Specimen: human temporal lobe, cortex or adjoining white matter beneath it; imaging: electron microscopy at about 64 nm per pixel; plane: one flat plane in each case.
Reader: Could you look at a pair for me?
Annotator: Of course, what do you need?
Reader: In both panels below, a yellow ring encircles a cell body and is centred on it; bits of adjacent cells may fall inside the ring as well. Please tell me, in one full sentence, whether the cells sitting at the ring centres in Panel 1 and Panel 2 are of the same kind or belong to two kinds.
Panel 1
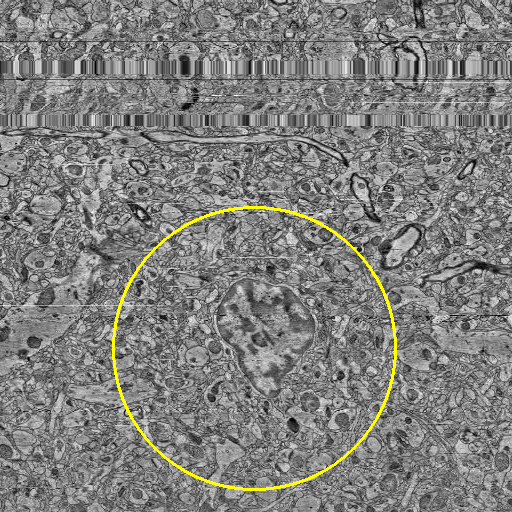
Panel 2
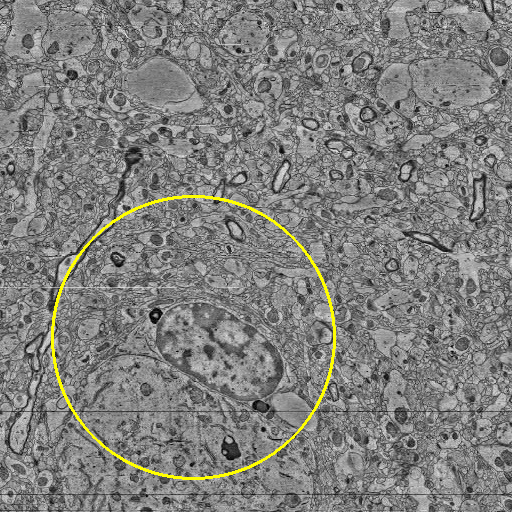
The cell at the ring's centre in Panel 1 and the one in Panel 2 are of the same kind.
